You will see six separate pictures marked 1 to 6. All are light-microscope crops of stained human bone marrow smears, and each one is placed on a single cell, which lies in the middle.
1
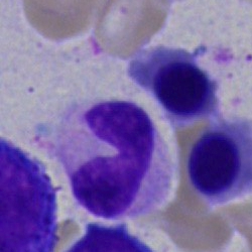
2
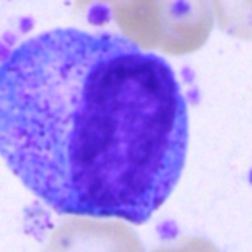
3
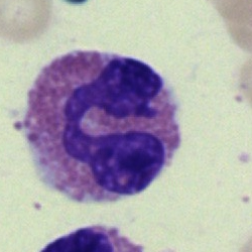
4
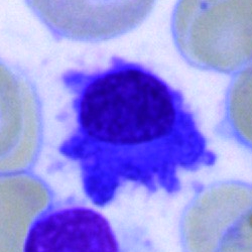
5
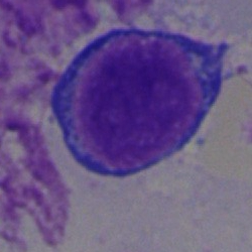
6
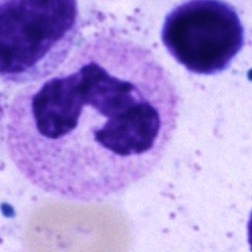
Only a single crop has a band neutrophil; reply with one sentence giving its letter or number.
The crop in which a band neutrophil is shown is crop 1.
